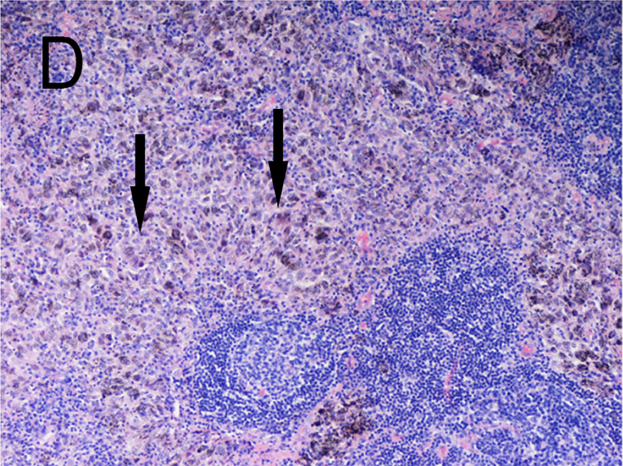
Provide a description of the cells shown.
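Lymph node tissue with rounded, densely packed dark-blue lymphoid follicles made of small lymphocytes. Between the follicles lie broad sheets of larger pale cells with abundant light pink-purple cytoplasm, many of them holding coarse brown-black pigment granules; clumps of this pigment are also scattered elsewhere. No glands or nests of atypical epithelial cells are seen among them. The arrows point into the pale, pigment-laden areas between the follicles.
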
